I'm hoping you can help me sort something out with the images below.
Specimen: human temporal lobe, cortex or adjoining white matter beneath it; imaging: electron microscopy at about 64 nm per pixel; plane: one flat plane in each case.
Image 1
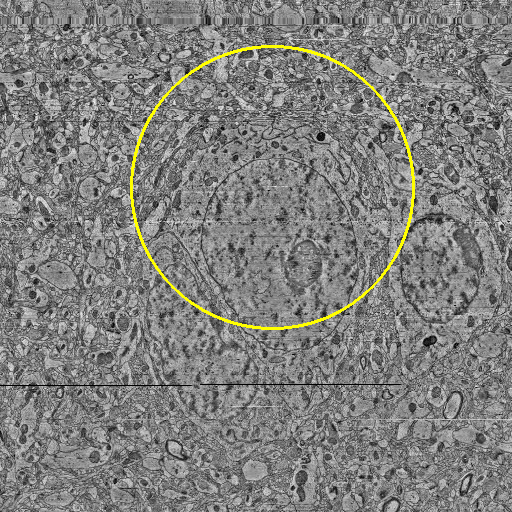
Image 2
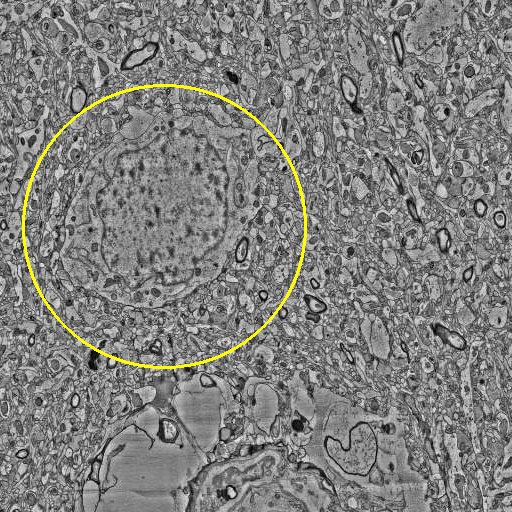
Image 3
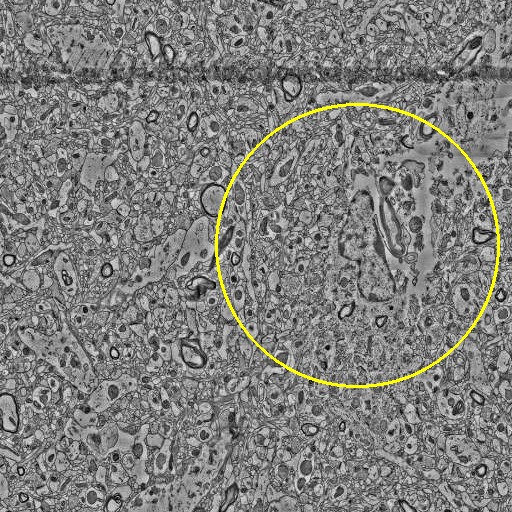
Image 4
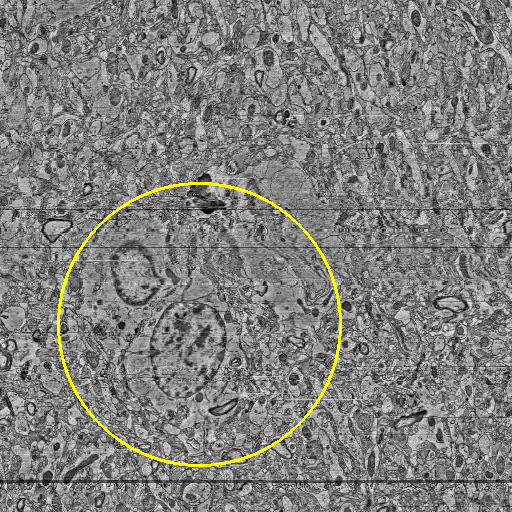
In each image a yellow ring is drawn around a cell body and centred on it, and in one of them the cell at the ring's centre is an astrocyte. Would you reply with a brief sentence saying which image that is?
In Image 4, the cell at the centre of the ring is the one you asked about.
